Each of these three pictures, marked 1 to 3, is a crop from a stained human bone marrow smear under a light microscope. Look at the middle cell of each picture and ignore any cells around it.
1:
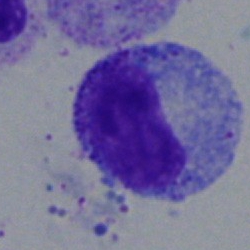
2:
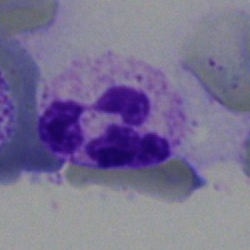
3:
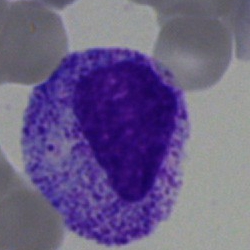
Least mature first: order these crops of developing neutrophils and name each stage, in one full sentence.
In order from least mature to most mature, the crops stand crop 3 (a myelocyte), crop 1 (a metamyelocyte) and crop 2 (a segmented neutrophil).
